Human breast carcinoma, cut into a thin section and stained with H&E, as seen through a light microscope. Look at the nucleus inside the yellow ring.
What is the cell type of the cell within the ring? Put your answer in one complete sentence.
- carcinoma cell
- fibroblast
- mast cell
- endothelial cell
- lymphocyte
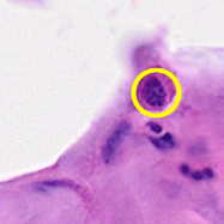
In this field of tissue, the cell within the ring is a mast cell.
